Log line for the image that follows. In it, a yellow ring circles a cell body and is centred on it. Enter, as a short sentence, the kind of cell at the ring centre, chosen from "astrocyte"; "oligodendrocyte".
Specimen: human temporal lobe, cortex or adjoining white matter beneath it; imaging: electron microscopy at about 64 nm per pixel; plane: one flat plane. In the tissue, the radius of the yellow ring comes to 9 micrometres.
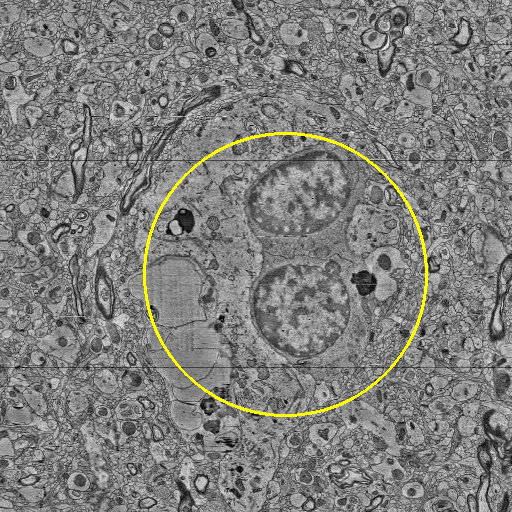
The ring centre is occupied by an oligodendrocyte.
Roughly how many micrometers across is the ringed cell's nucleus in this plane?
In this plane, the nucleus measures approximately 6 micrometres across.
